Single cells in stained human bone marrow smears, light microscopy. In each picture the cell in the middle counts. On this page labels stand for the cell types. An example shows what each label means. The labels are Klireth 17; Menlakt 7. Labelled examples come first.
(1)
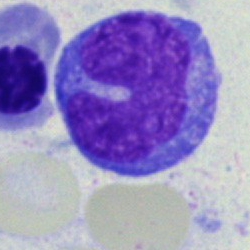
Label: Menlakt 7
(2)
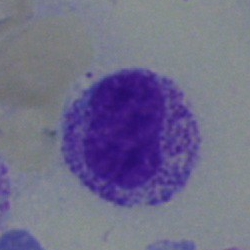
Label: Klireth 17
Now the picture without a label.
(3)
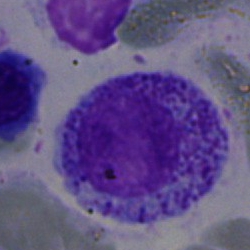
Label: Klireth 17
